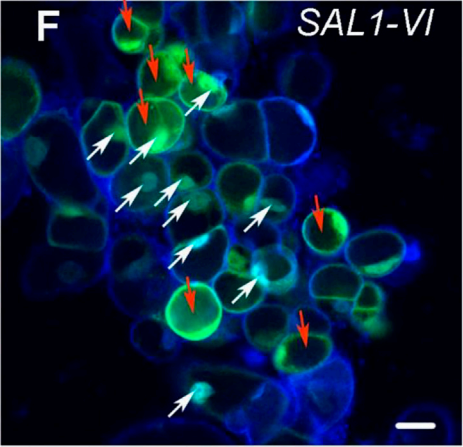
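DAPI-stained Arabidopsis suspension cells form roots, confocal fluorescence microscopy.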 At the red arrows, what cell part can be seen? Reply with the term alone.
Cytosol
